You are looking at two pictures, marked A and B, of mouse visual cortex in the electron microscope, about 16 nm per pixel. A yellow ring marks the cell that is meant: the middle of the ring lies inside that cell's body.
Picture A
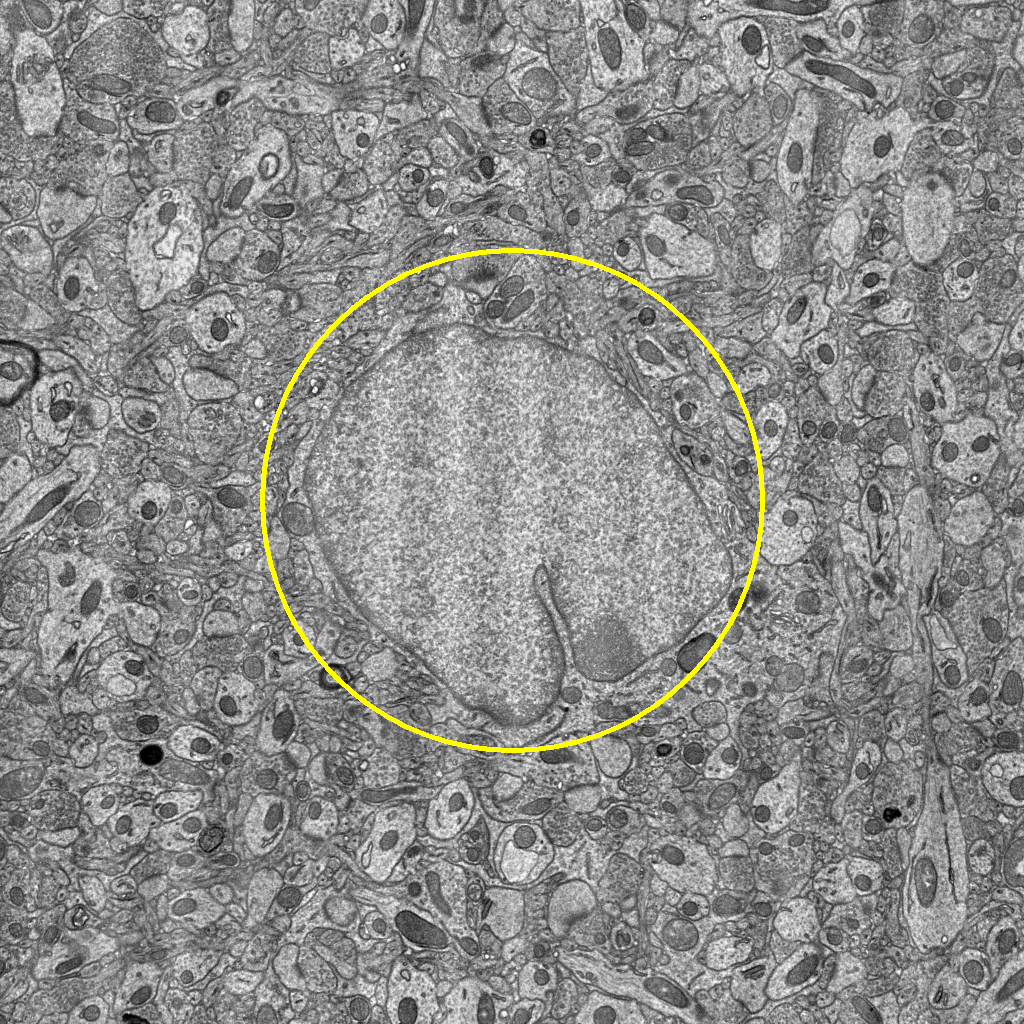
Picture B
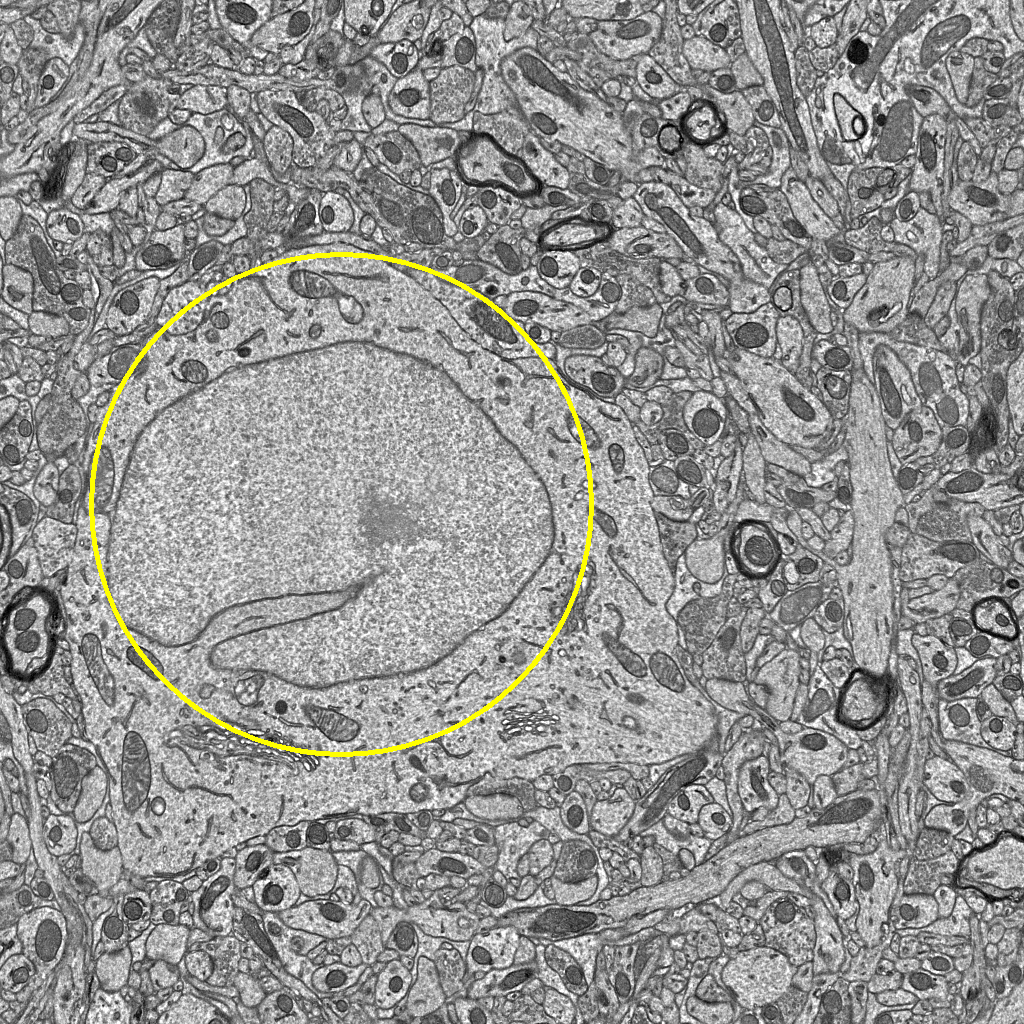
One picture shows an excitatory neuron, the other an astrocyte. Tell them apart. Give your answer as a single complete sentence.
Picture A is of an astrocyte, and picture B is of an excitatory neuron.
